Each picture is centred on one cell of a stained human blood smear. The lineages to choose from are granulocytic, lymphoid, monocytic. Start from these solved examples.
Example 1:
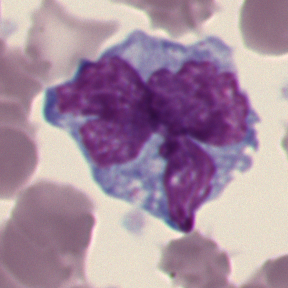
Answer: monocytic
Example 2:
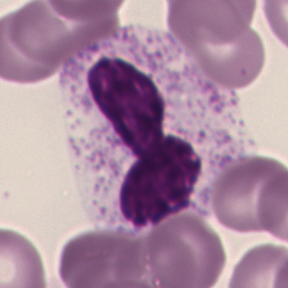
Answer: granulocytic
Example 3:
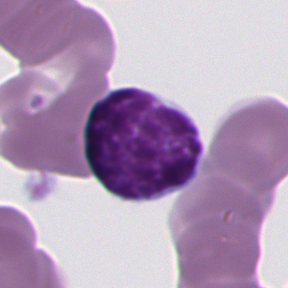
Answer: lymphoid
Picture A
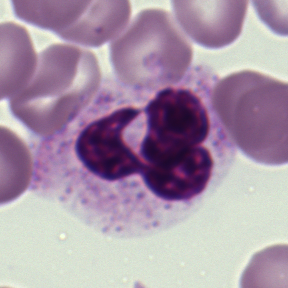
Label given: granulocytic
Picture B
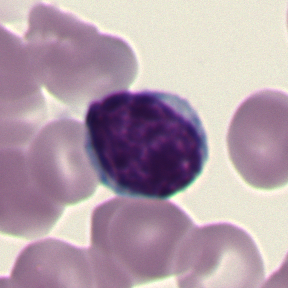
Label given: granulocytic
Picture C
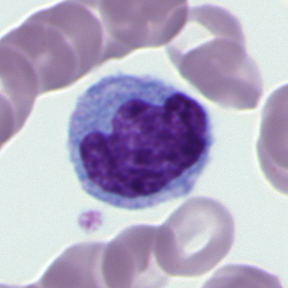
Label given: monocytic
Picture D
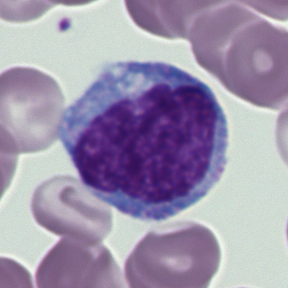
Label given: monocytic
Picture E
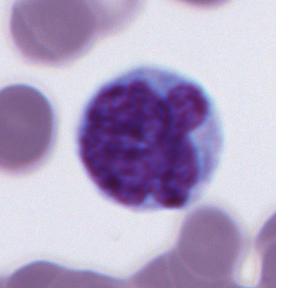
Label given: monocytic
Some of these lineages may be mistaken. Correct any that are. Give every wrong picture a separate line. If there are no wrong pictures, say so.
Wrong: B (granulocytic); correct: lymphoid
